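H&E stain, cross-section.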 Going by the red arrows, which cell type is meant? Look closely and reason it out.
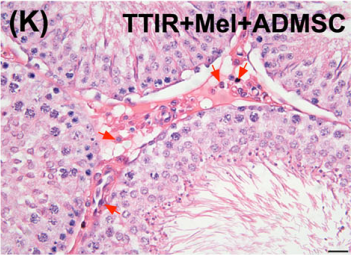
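The arrows point to cells in the interstitial space between tubules. The marked cells have pink cytoplasm and round nuclei. That points to this answer: Leydig cells.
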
